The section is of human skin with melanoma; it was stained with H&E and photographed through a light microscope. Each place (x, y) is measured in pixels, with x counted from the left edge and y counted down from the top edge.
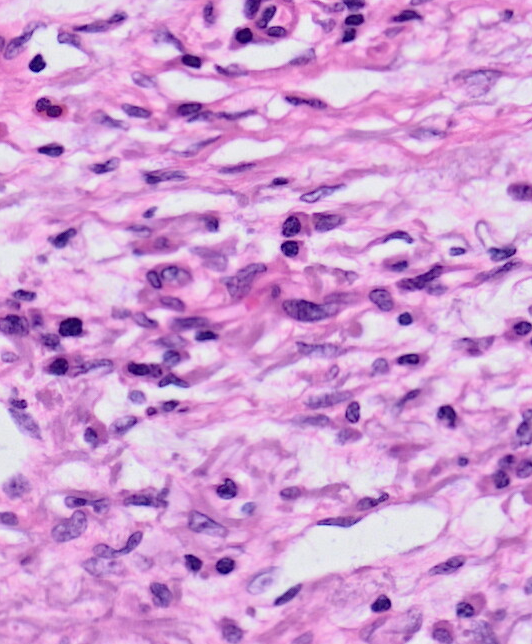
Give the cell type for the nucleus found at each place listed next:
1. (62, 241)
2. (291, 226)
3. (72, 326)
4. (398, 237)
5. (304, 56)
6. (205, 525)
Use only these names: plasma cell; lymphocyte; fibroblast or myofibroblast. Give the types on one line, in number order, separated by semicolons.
lymphocyte; plasma cell; plasma cell; fibroblast or myofibroblast; fibroblast or myofibroblast; fibroblast or myofibroblast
